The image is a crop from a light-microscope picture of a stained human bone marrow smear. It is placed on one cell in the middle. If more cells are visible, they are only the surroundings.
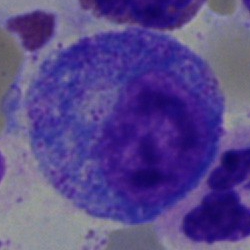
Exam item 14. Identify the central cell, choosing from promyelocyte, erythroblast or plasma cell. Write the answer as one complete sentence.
The middle position in this crop is taken by a promyelocyte.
